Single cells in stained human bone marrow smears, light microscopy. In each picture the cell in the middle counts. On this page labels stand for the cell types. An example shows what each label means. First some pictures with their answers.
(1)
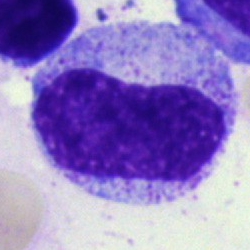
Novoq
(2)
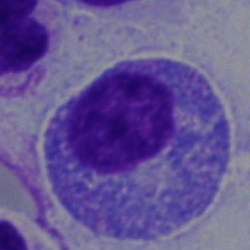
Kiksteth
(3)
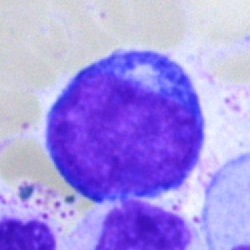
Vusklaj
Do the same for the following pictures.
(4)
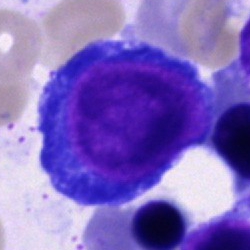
Vusklaj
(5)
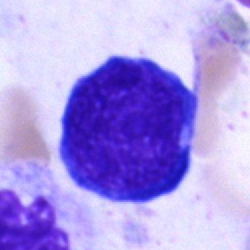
Vusklaj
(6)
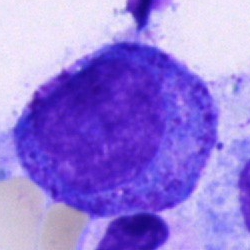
Kiksteth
